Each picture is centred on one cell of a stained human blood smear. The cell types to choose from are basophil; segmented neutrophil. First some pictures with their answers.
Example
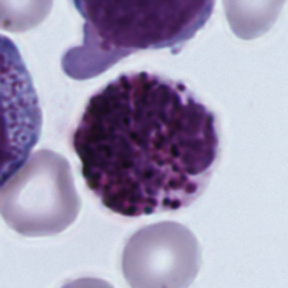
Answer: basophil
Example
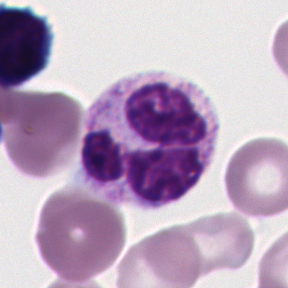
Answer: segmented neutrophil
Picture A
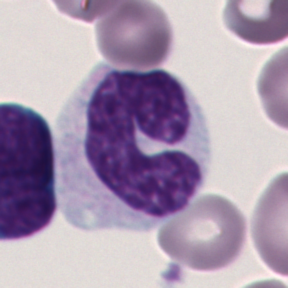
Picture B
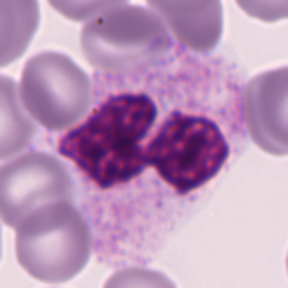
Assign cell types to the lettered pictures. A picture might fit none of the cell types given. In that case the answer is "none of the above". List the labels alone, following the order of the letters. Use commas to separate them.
none of the above, segmented neutrophil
